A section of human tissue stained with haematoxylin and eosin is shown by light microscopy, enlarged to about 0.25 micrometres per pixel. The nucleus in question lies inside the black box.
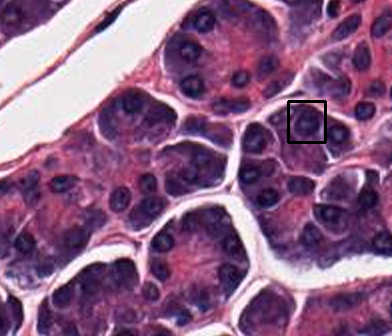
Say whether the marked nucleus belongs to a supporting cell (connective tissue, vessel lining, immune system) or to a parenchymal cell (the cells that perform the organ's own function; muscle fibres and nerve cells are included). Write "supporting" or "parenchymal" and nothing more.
parenchymal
